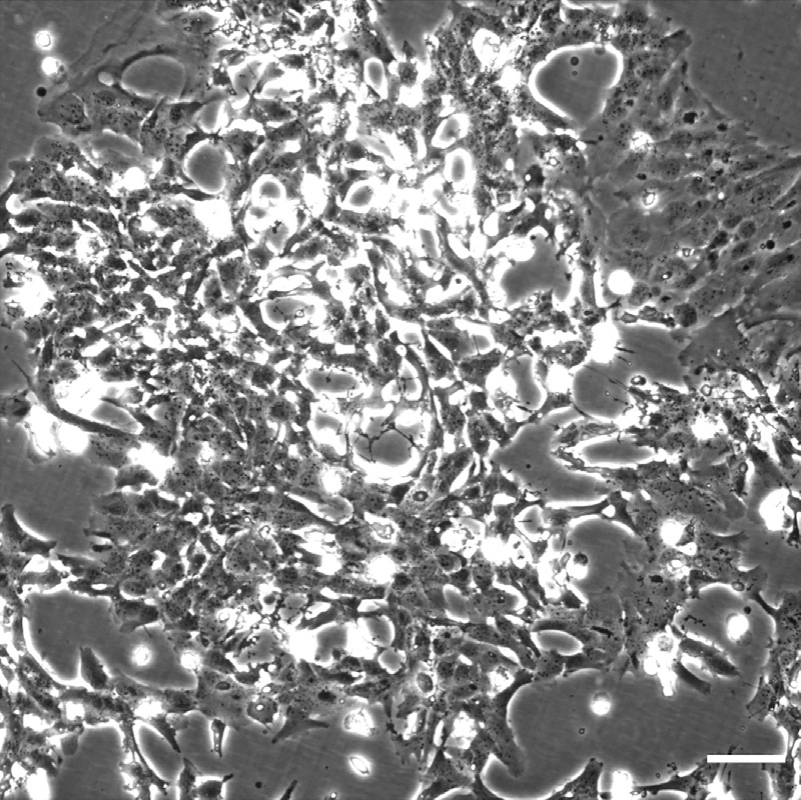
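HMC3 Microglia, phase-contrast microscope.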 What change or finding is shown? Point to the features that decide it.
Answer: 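Clump of aggregated cells. A dense, bright, tangled mass of cells occupies the centre of the field. Cell outlines in the mass are hard to separate because they pile over each other.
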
